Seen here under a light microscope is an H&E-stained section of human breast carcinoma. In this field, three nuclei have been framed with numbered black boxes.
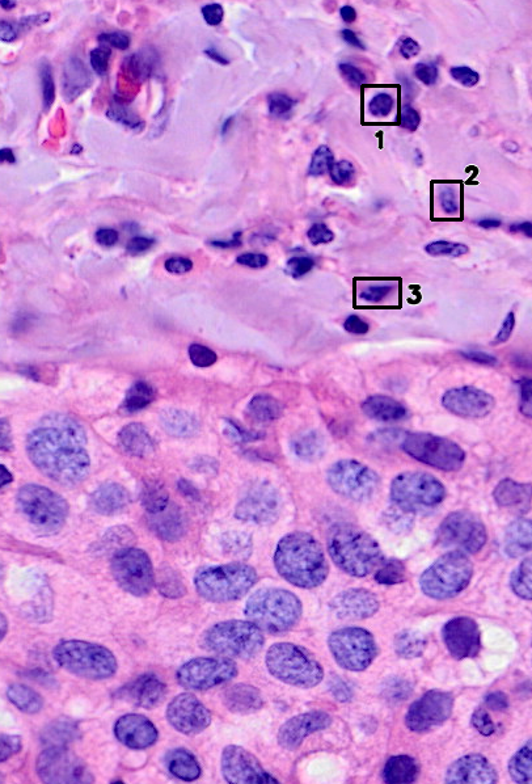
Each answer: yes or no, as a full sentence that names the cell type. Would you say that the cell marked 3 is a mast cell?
Yes, the cell distinguished by number 3 is a mast cell.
